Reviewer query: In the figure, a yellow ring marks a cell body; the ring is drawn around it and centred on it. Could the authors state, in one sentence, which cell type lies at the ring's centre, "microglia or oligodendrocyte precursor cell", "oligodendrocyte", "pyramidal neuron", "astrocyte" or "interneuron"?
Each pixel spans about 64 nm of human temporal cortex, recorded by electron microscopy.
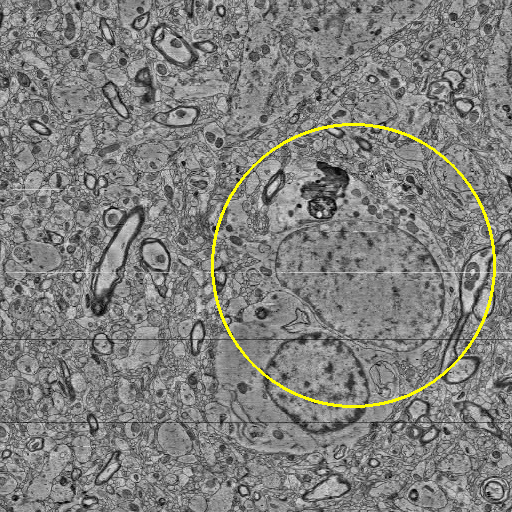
The ring is centred on an astrocyte.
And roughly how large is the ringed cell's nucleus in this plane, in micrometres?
Roughly 11 micrometres by 8 micrometres, in this plane.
